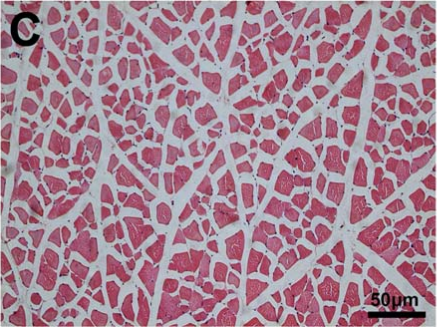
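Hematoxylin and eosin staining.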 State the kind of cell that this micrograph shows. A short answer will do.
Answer: Muscle fiber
